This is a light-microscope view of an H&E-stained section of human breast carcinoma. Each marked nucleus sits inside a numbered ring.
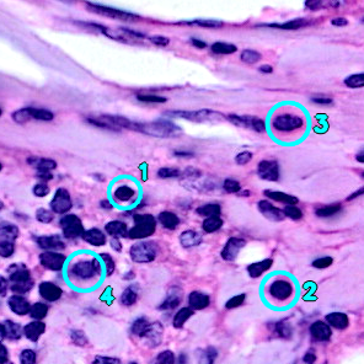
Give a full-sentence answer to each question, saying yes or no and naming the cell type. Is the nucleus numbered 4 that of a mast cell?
No, the cell marked 4 is a lymphocyte rather than a mast cell.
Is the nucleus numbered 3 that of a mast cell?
Yes, the cell marked with number 3 is a mast cell.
